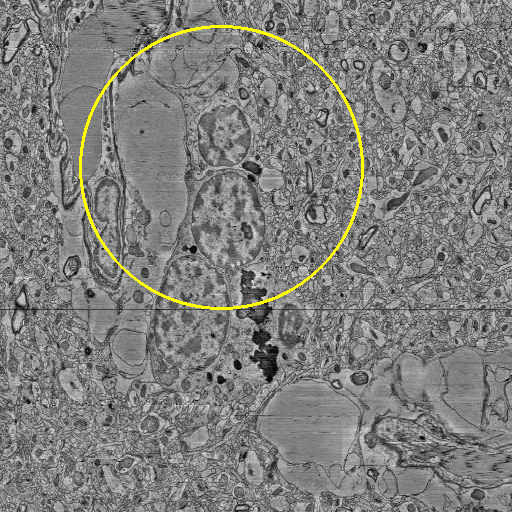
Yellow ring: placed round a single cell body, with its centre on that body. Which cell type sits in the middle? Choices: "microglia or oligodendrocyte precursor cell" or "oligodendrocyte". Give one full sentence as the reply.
It is a microglial cell or oligodendrocyte precursor cell whose cell body sits at the centre of the yellow ring.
